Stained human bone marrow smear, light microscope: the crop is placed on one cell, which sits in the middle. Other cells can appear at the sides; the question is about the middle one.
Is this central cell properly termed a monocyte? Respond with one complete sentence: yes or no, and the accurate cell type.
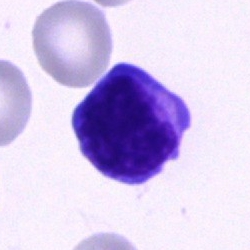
No, the cell in the middle is categorised as a blast, not a monocyte.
